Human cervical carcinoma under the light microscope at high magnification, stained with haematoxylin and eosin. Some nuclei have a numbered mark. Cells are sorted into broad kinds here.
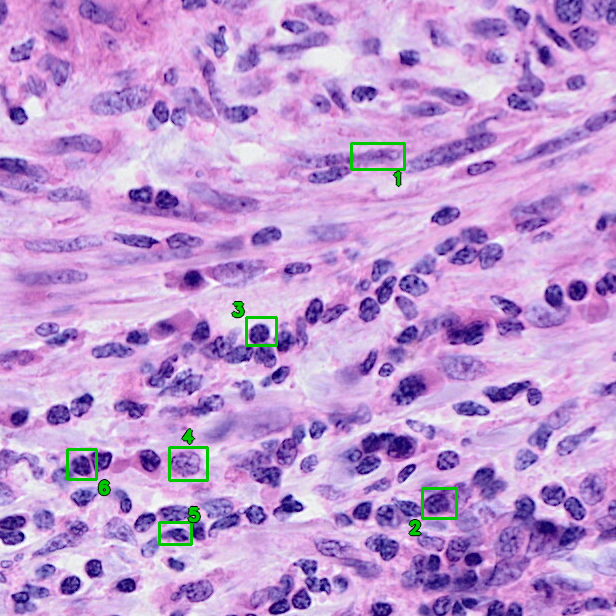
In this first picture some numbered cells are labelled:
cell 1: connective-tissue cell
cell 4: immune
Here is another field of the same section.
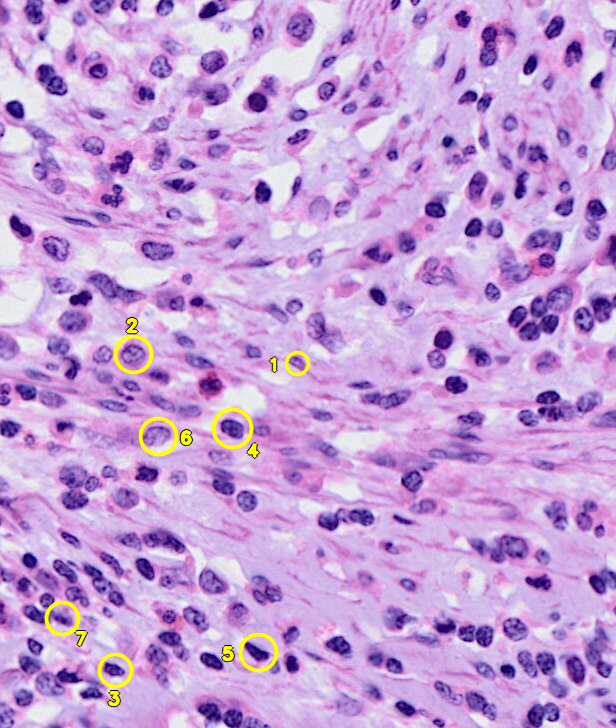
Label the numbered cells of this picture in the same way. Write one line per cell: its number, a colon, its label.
1: connective-tissue cell
2: immune
3: immune
4: immune
5: immune
6: immune
7: immune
